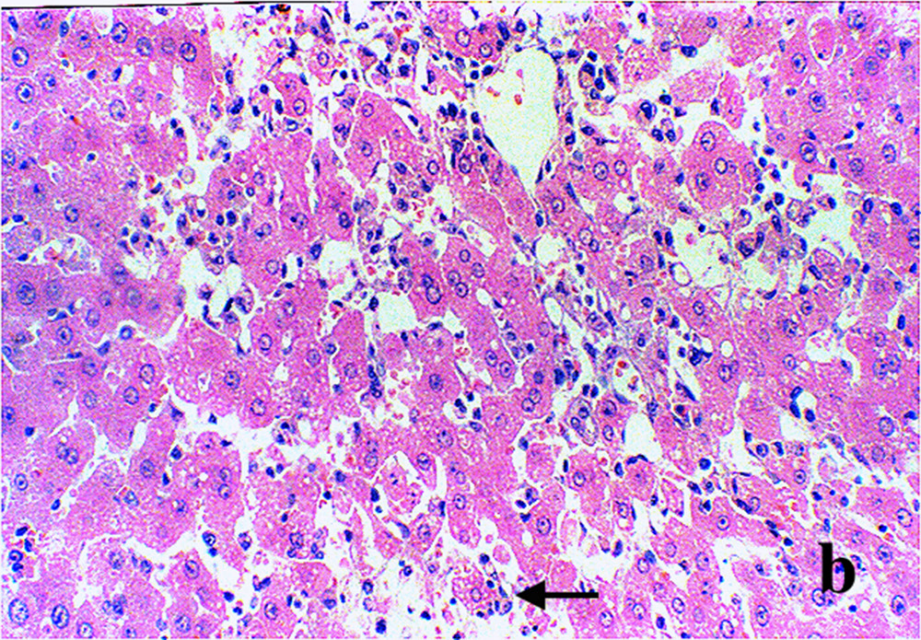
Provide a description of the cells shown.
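This section of liver shows hepatocytes around a widened central vein, with the sinusoids between the cell plates dilated into broad, irregular clear spaces. The hepatocytes have pink cytoplasm and round nuclei with nucleoli. Some of them look pale and contain small clear vacuoles in their cytoplasm. Many small, dark, densely stained nuclei crowd around the vein and the widened spaces. Toward the edges of the field the hepatocyte plates look more intact.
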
